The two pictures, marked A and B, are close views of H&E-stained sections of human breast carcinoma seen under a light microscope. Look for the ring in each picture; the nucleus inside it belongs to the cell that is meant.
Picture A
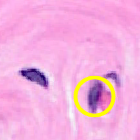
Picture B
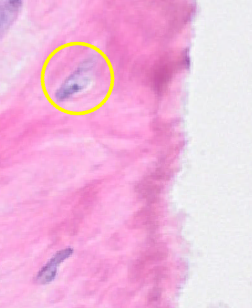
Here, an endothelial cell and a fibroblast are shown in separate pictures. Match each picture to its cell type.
A: endothelial cell
B: fibroblast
